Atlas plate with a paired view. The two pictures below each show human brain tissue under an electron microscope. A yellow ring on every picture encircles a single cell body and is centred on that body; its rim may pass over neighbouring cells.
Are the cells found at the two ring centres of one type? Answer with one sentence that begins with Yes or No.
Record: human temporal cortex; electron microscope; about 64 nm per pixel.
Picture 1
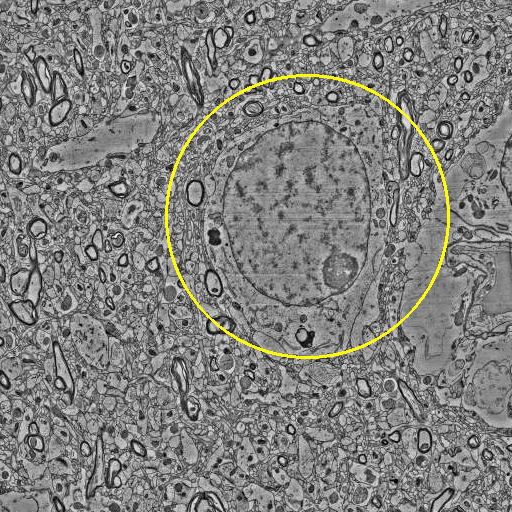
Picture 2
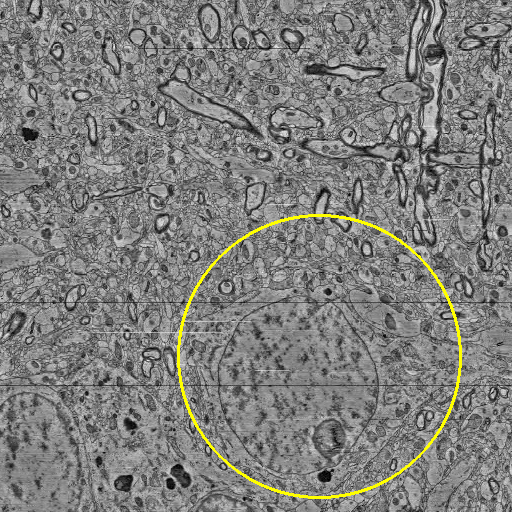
Yes, the two cells lying at the centres of the rings share a single type.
